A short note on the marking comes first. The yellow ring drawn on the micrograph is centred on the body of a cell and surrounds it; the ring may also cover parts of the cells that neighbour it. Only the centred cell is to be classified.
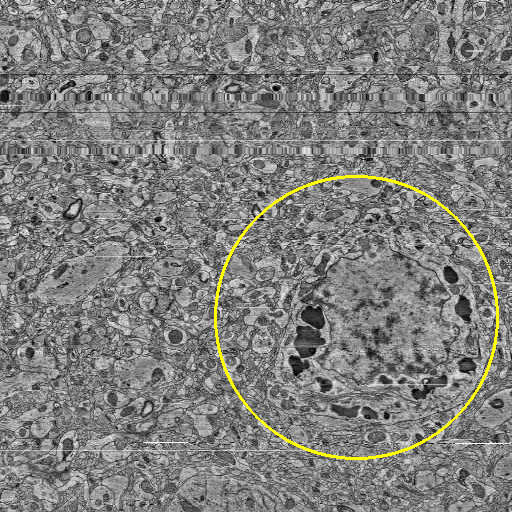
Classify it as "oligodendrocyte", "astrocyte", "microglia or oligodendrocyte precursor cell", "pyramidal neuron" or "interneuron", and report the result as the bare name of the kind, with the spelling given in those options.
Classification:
interneuron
